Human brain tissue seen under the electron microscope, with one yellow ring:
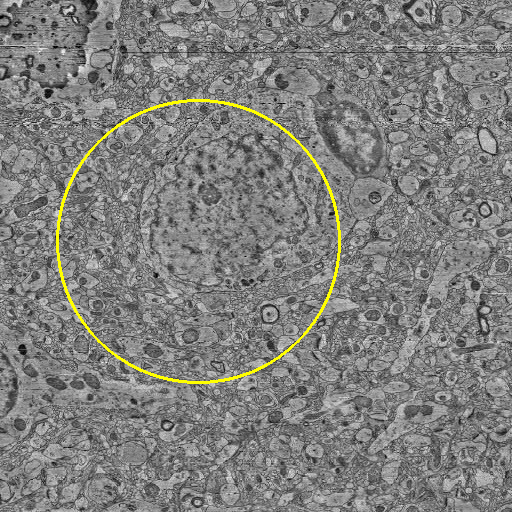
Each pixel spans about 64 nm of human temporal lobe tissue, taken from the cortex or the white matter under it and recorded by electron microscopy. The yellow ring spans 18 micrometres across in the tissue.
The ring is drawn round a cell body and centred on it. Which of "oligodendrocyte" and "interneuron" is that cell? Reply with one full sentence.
The picture shows an interneuron at the very centre of the yellow ring.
